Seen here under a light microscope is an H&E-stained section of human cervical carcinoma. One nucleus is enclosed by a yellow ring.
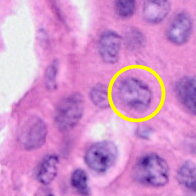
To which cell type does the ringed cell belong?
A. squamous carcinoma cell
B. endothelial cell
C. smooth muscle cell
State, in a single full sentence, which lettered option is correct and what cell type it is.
It is correct to say that the ringed cell is a squamous carcinoma cell, as option A does.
